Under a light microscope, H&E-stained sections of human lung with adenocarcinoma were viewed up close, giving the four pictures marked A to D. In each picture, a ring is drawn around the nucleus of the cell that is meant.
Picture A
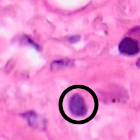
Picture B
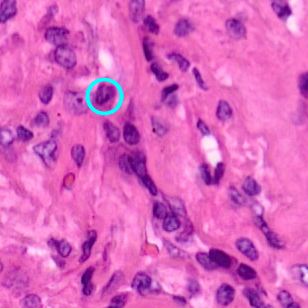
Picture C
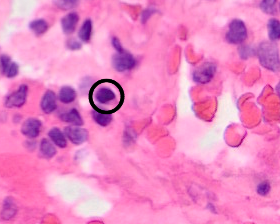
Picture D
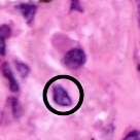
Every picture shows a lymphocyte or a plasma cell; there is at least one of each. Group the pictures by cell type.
A: lymphocyte
B: plasma cell
C: lymphocyte
D: lymphocyte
